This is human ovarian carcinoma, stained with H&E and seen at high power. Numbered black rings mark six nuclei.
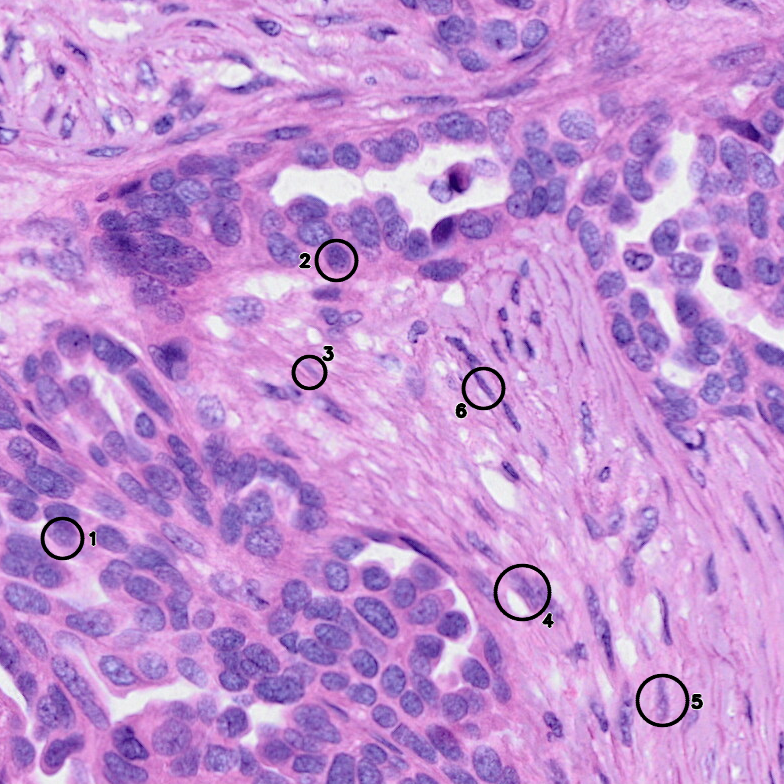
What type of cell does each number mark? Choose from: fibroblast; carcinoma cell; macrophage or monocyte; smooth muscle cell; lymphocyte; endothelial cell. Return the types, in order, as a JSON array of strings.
["carcinoma cell", "carcinoma cell", "fibroblast", "fibroblast", "fibroblast", "fibroblast"]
